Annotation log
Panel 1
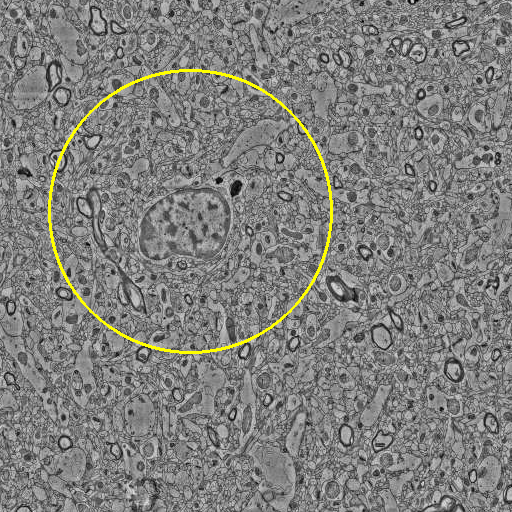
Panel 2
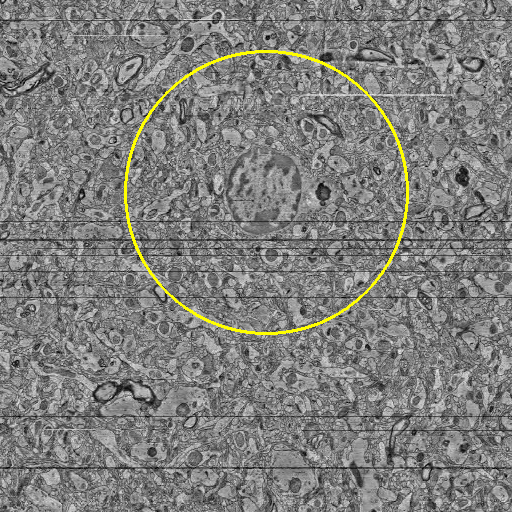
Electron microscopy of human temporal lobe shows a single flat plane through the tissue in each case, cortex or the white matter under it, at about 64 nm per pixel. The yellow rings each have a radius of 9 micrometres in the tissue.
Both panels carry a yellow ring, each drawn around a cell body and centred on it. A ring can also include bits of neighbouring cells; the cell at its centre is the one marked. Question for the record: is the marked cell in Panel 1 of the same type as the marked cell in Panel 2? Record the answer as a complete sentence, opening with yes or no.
No, the marked cells in Panel 1 and Panel 2 are of two types.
